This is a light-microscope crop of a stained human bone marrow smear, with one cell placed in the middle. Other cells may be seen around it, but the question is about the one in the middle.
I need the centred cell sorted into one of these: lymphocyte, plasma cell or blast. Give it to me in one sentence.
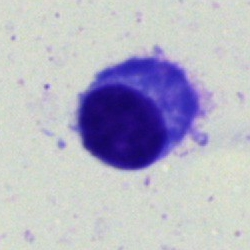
This particular crop is centered on a plasma cell.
